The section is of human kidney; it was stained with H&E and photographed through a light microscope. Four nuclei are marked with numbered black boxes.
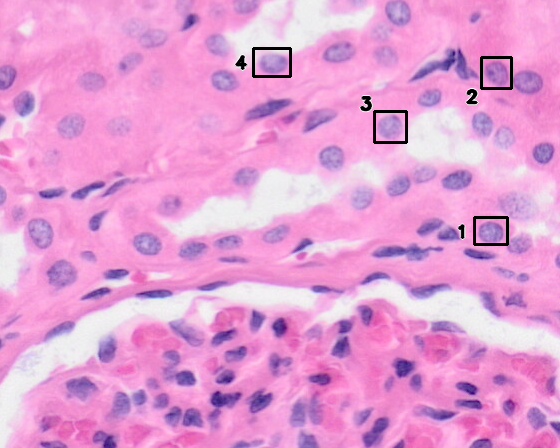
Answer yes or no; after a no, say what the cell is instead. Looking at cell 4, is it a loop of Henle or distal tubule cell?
Yes.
